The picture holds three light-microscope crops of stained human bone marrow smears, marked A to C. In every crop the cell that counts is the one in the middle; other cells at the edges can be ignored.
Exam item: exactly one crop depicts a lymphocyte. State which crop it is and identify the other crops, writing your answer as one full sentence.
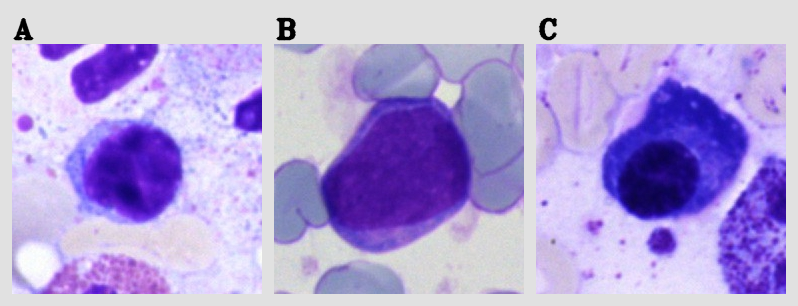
The cell sitting in crop A is a lymphocyte, while crop B is a blast and crop C is a plasma cell.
